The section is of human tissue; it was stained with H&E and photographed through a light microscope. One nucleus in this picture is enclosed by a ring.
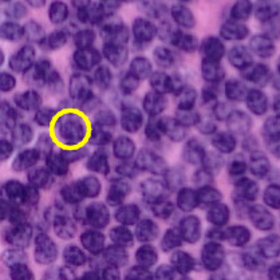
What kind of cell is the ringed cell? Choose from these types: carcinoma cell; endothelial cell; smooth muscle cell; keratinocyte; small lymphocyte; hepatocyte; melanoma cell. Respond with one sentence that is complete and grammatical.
As to its cell type, the ringed cell is a small lymphocyte.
